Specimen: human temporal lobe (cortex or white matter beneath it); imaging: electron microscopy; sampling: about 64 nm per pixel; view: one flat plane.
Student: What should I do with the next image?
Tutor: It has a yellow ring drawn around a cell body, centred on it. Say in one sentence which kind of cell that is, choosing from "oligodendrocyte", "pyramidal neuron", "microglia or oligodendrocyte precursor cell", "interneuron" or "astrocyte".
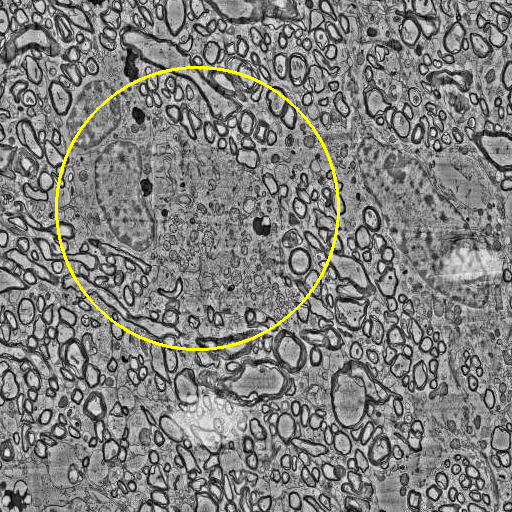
The ring's centre is occupied by an interneuron.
